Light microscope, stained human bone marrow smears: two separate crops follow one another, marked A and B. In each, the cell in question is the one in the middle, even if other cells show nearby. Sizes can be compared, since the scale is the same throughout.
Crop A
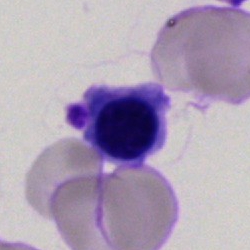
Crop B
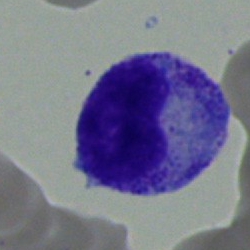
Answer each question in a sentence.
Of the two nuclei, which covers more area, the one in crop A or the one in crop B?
Crop B shows the larger nucleus; it covers about 3 times the area of the nucleus in crop A.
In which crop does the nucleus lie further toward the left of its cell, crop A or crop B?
The nucleus in crop B lies further toward the left of its cell.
